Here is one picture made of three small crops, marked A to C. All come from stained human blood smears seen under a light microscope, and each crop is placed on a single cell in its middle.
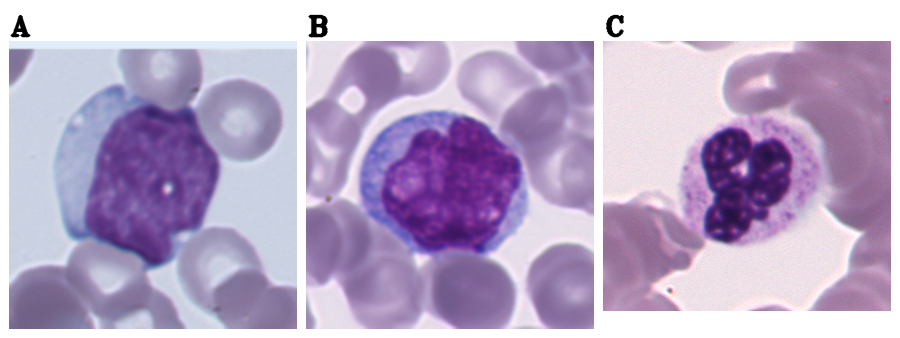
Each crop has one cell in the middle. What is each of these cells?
A: blast
B: monocyte
C: neutrophil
